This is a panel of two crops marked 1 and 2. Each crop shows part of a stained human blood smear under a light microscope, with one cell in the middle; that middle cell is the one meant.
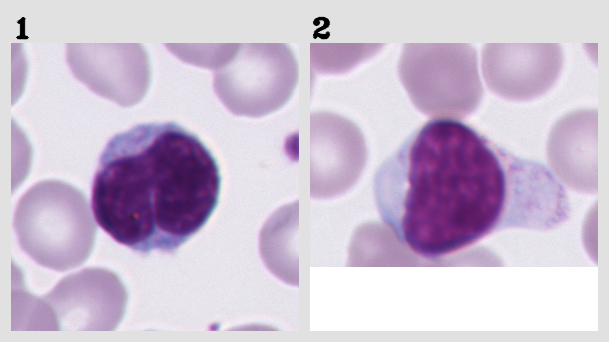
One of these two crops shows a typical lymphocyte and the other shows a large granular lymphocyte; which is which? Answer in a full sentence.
The middle cell in crop 1 is a typical lymphocyte; the middle cell in crop 2 is a large granular lymphocyte.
